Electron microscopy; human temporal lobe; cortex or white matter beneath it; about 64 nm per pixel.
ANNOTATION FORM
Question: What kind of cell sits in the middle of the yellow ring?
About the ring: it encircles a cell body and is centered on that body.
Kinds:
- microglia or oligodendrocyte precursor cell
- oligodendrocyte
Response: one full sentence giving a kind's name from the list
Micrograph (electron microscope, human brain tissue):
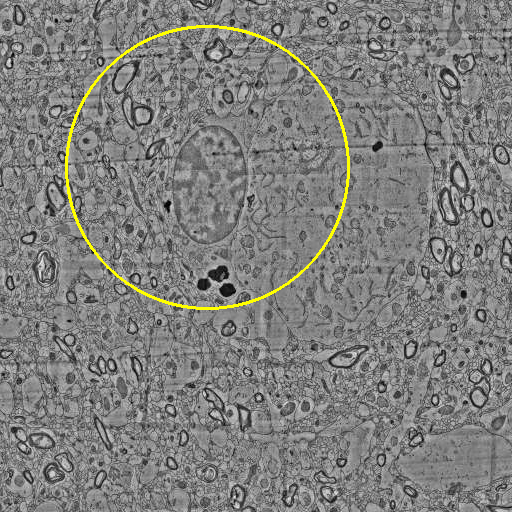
The kind of cell found at the center of the yellow ring in the micrograph is an oligodendrocyte.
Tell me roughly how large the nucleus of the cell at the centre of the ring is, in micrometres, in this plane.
In this plane, about 7 by 5 micrometres: the nucleus is clearly longer than it is wide.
